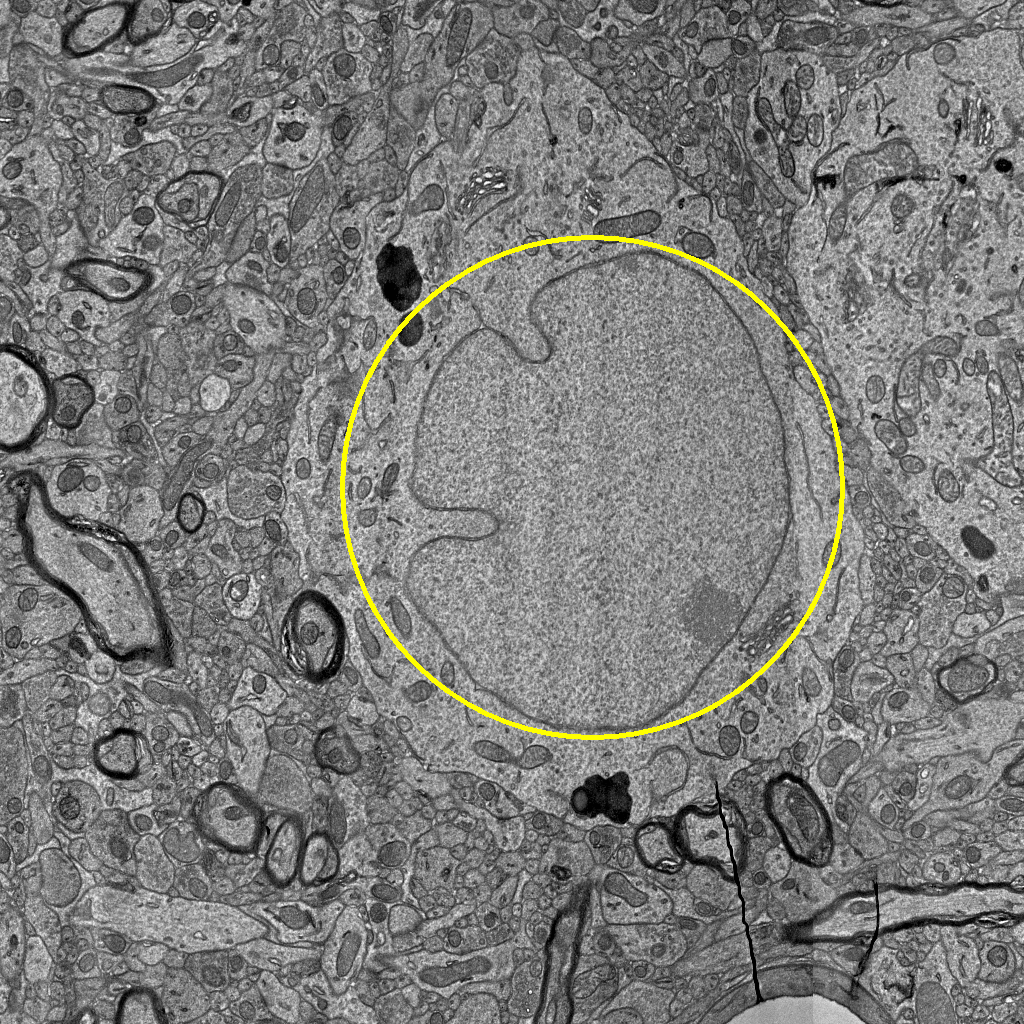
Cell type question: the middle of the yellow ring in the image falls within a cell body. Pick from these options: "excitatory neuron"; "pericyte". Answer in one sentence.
The cell body at the center of the ring belongs to an excitatory neuron.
